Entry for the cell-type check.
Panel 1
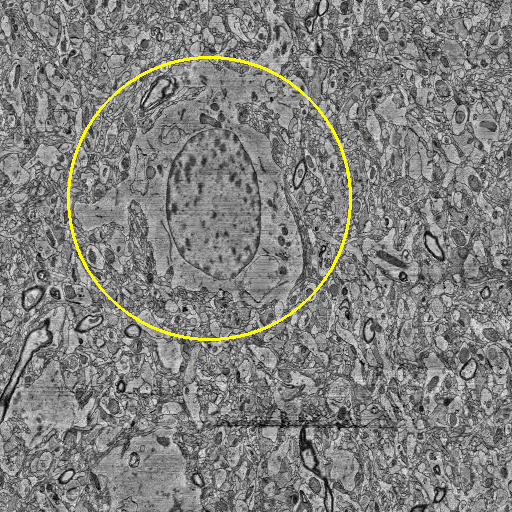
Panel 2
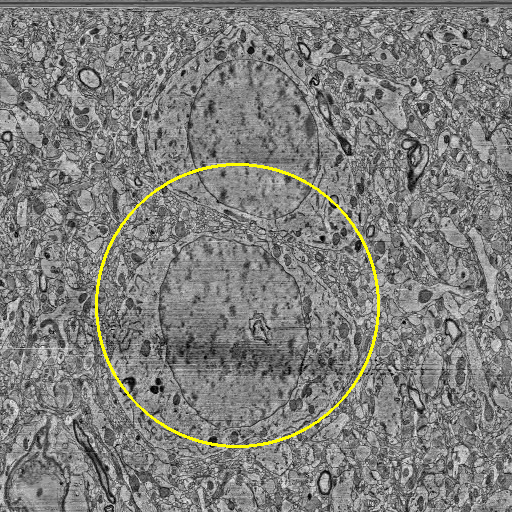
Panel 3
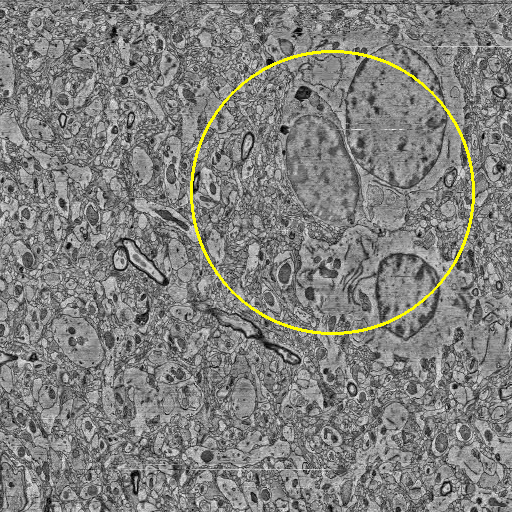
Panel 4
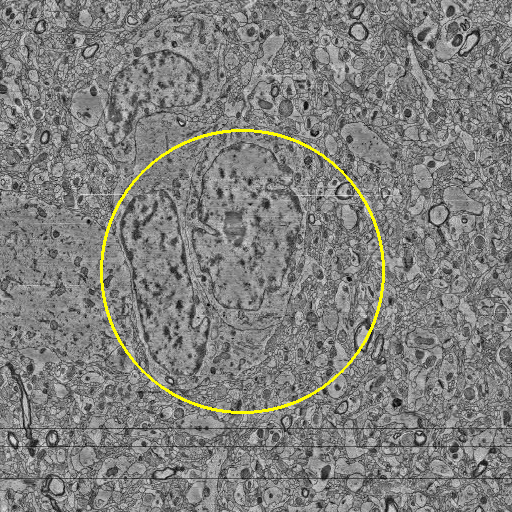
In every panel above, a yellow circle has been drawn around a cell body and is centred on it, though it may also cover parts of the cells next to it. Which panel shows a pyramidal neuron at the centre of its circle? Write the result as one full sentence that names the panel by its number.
Panel 2 shows it at the centre of its circle.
